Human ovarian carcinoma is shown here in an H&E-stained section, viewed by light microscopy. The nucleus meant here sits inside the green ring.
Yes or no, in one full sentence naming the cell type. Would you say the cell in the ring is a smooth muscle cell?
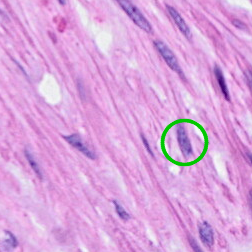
No, the cell in the ring is reported as a fibroblast rather than a smooth muscle cell.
